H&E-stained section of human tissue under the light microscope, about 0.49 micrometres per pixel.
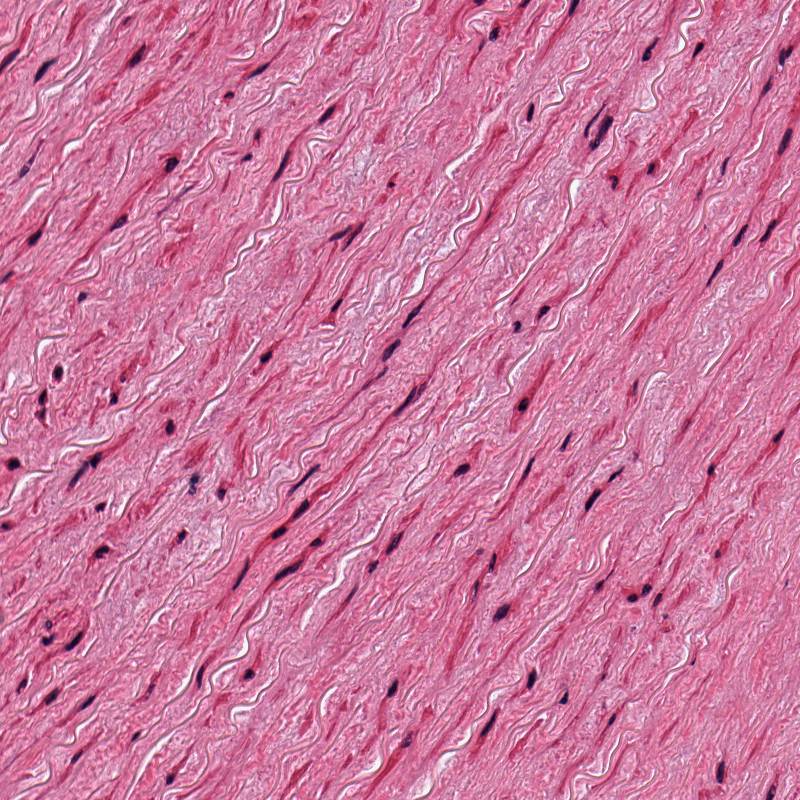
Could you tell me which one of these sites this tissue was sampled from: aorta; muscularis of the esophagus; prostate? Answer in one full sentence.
The sampling site of this tissue was the aorta.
